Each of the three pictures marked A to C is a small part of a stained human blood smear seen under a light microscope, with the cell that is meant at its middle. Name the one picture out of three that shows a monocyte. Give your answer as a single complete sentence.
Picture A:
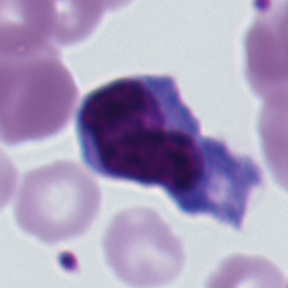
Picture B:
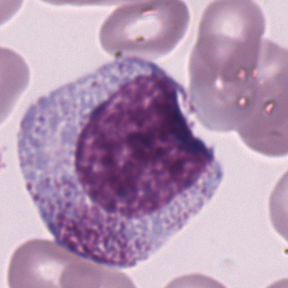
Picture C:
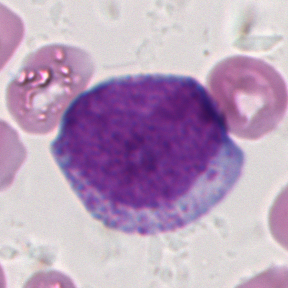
It is picture A that shows the monocyte.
